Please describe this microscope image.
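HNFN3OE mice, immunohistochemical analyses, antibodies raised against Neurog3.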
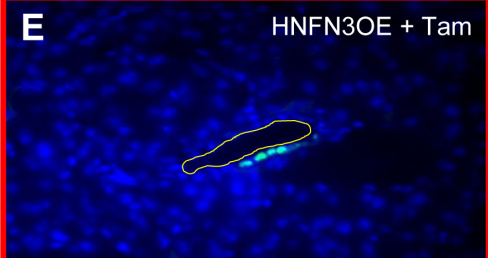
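This is pancreatic tissue with a small duct cut lengthwise, its lumen traced by a yellow line. Blue nuclei are scattered throughout the surrounding tissue. Along one edge of the lumen, a short row of cells shows bright green staining, sitting within the lining of the duct. Elsewhere in the field the nuclei are blue only.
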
